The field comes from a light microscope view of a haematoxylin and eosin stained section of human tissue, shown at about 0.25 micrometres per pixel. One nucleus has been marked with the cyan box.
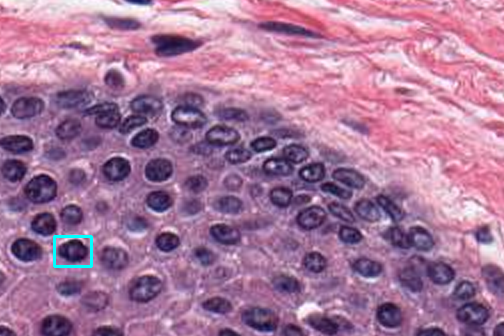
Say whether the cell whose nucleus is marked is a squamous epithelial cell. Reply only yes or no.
yes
